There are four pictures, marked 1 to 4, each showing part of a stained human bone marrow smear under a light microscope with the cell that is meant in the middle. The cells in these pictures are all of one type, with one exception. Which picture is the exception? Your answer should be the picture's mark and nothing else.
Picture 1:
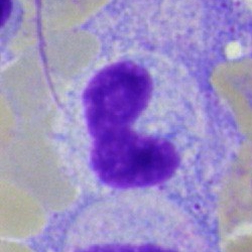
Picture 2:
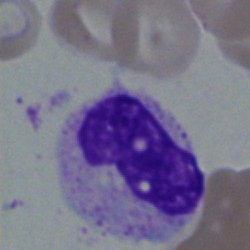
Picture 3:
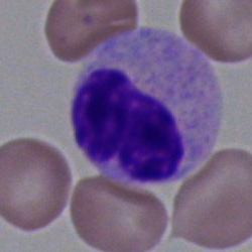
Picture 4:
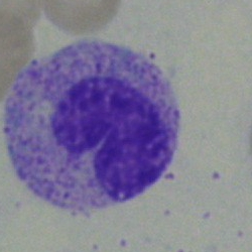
2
